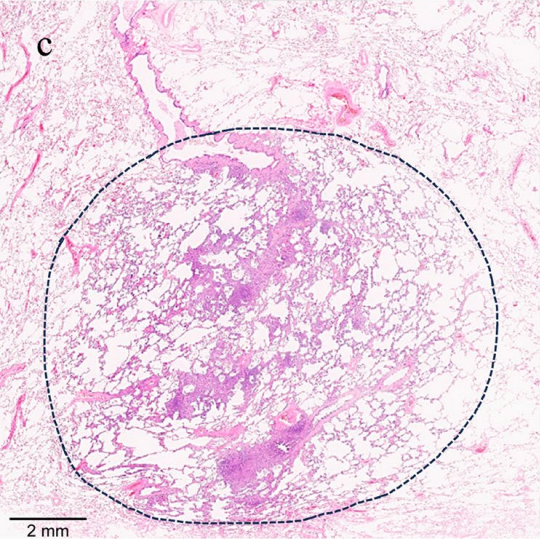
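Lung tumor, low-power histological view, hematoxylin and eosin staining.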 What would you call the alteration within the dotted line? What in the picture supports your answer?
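The dotted line encloses a roughly round area of lung where the alveolar walls are thickened and more purple than the surrounding lung. The alveolar spaces inside the outlined area remain open, so the lung's airspace framework is kept. Outside the dotted line the alveolar walls are thin and pale.
Hence: lepidic growth pattern.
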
